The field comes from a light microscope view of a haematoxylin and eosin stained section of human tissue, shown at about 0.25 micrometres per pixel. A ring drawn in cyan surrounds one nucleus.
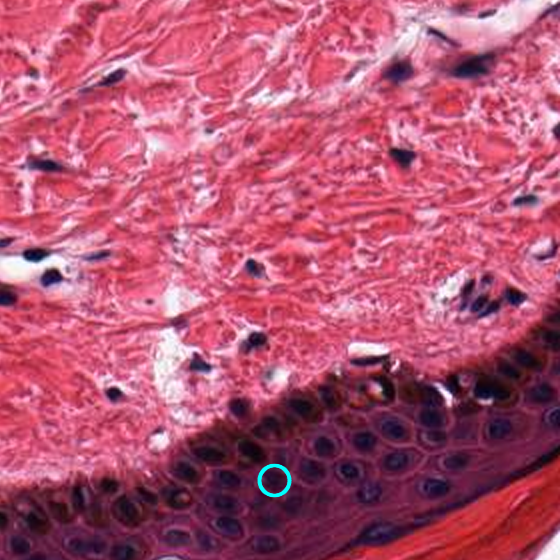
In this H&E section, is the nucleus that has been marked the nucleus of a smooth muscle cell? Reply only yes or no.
no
